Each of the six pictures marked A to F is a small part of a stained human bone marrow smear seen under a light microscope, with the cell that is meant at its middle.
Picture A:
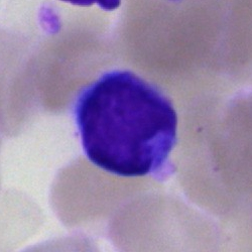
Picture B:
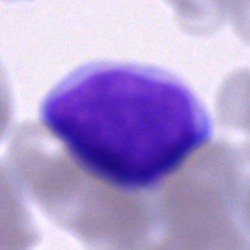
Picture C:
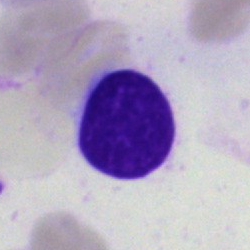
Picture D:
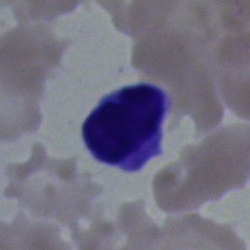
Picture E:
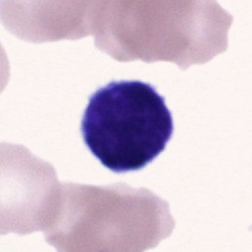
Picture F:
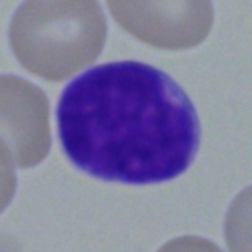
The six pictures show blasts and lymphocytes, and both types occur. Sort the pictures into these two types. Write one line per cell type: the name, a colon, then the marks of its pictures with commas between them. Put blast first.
blast: B, F
lymphocyte: A, C, D, E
